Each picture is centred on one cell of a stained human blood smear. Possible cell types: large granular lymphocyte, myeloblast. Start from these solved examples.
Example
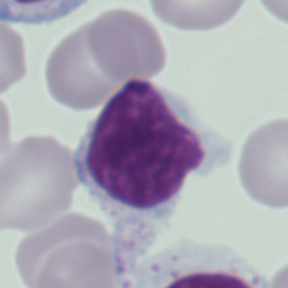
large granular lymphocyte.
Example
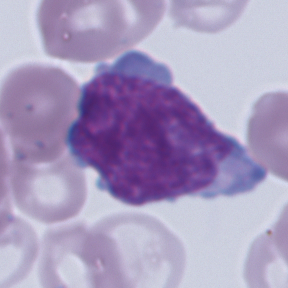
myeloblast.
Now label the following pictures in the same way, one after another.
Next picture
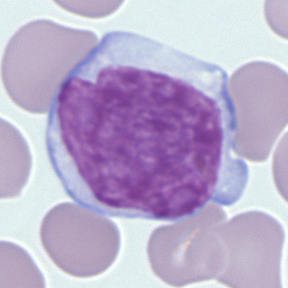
myeloblast.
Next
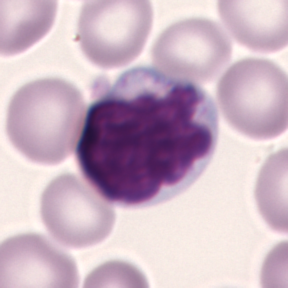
large granular lymphocyte.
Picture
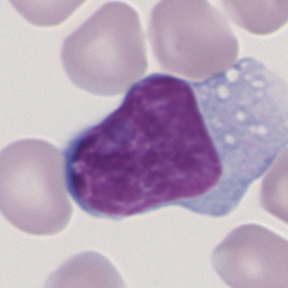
myeloblast.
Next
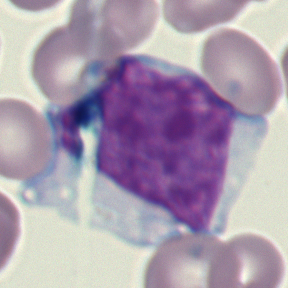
myeloblast.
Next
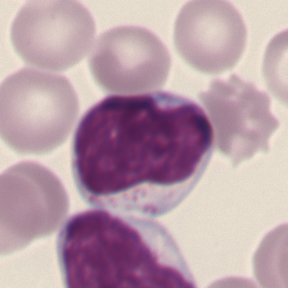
large granular lymphocyte.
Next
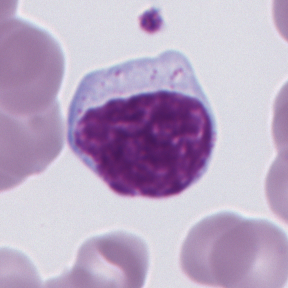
large granular lymphocyte.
